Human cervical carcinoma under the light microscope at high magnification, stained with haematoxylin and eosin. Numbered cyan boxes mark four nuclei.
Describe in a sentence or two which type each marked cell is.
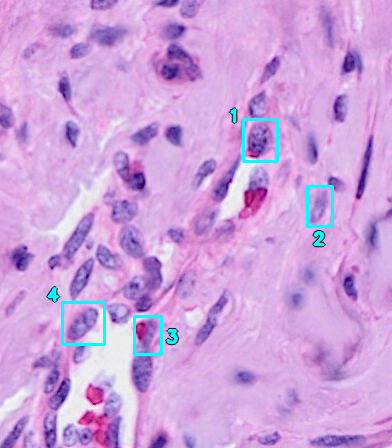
Cells 1, 3 and 4 are endothelial cells. Cell 2 is a fibroblast.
